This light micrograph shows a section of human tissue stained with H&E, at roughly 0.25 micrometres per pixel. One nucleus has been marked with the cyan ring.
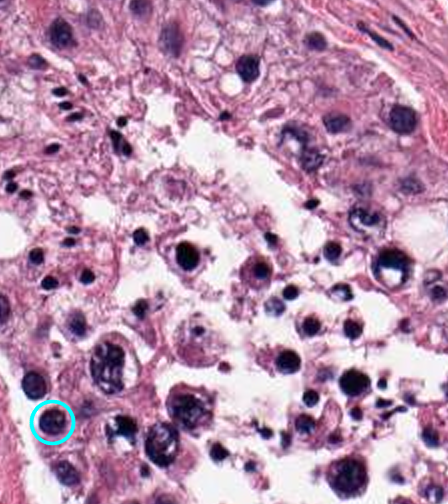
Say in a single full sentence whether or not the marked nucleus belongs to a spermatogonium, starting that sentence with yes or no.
Yes, it is a spermatogonium that holds the marked nucleus.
